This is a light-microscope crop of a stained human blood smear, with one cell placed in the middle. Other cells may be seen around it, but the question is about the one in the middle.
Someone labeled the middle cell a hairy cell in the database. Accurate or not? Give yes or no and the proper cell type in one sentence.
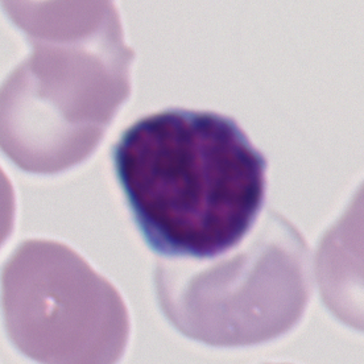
No, mark the middle cell as a typical lymphocyte, not a hairy cell.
